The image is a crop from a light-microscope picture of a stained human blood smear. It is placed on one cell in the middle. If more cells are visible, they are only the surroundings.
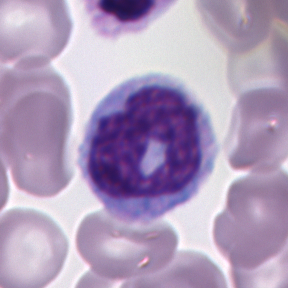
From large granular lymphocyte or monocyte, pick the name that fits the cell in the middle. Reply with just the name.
monocyte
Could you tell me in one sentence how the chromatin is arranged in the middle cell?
Here the nuclear chromatin is coarsely clumped.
